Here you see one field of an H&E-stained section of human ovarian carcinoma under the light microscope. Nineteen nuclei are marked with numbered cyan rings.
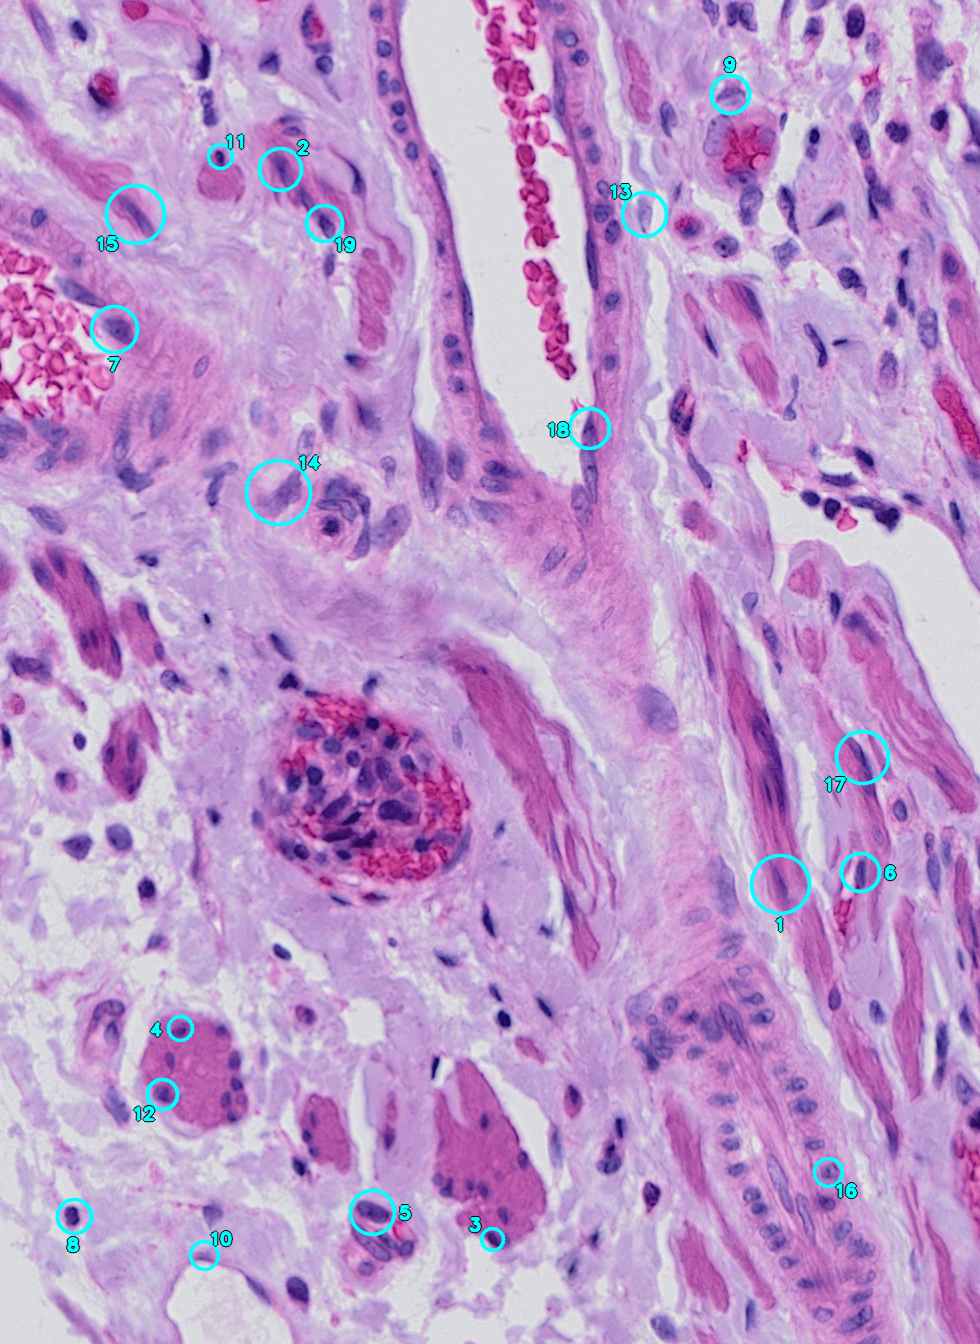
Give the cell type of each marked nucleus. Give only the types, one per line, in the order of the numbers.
smooth muscle cell
smooth muscle cell
smooth muscle cell
smooth muscle cell
endothelial cell
endothelial cell
endothelial cell
lymphocyte
fibroblast
endothelial cell
smooth muscle cell
smooth muscle cell
fibroblast
fibroblast
smooth muscle cell
smooth muscle cell
smooth muscle cell
endothelial cell
smooth muscle cell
